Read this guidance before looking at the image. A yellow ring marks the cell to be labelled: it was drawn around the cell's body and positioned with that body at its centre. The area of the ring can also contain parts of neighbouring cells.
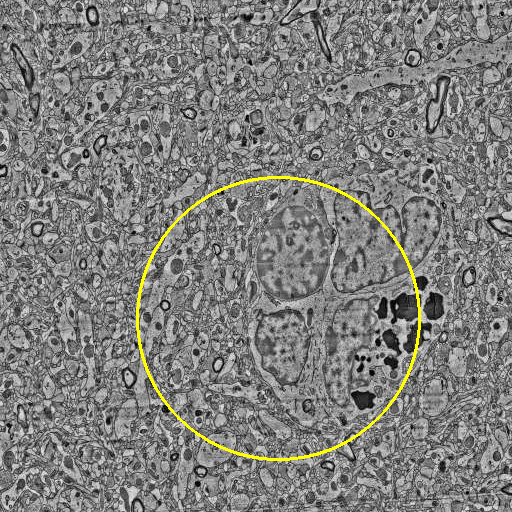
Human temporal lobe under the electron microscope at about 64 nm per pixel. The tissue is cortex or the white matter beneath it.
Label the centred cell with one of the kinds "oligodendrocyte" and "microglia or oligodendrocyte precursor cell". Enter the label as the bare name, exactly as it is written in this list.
microglia or oligodendrocyte precursor cell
